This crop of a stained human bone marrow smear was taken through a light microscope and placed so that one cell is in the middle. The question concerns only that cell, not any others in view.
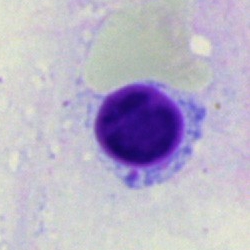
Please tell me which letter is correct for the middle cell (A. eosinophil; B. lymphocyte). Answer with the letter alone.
B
